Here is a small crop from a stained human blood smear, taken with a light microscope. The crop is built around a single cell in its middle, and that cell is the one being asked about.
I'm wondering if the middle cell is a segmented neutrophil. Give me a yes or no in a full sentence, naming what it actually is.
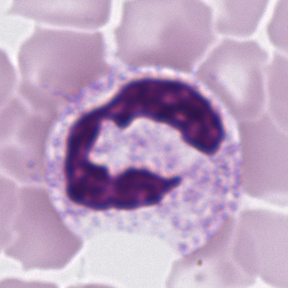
Yes, the crop's central cell is a segmented neutrophil.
